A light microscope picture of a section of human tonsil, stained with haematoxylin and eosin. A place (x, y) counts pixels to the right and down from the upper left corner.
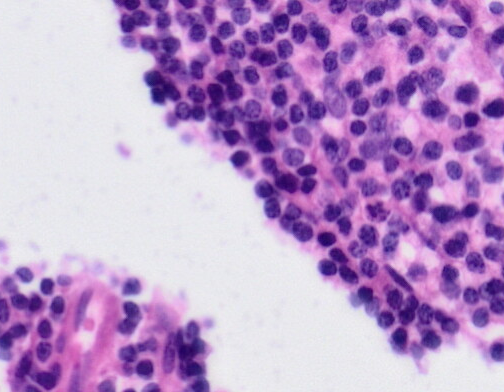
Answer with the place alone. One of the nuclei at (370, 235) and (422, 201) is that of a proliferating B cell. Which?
(422, 201)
